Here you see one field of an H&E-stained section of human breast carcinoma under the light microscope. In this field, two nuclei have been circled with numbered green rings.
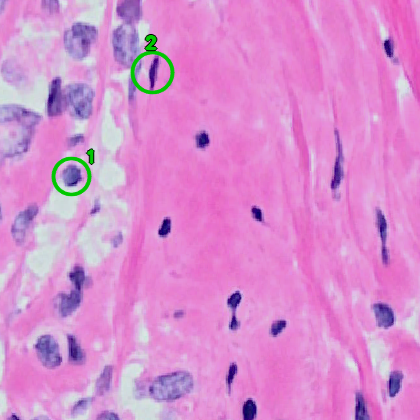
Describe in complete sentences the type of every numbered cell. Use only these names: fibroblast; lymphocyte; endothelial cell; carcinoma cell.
Cell 1 is a lymphocyte. Cell 2 is a fibroblast.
